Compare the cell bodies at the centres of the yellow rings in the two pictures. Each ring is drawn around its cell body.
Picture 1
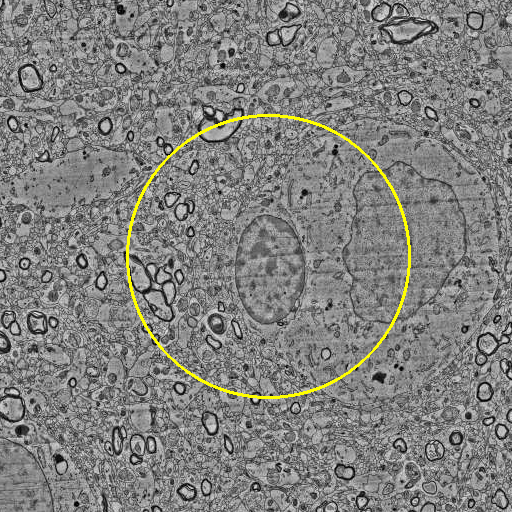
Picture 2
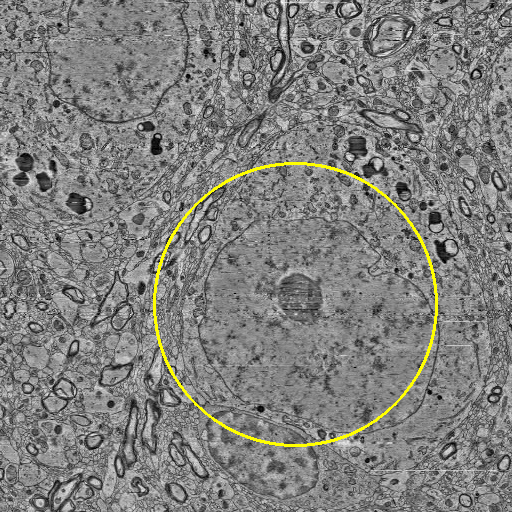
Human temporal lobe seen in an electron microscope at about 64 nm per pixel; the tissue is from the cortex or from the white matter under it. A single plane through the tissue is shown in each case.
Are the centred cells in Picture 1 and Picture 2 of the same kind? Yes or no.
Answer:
no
